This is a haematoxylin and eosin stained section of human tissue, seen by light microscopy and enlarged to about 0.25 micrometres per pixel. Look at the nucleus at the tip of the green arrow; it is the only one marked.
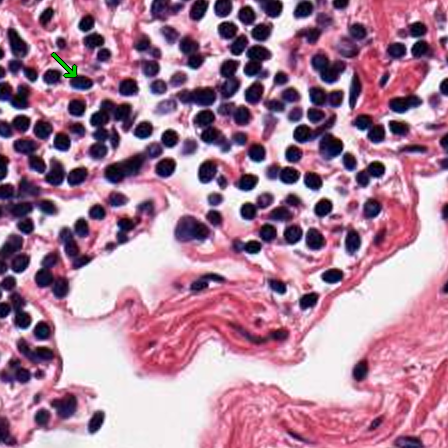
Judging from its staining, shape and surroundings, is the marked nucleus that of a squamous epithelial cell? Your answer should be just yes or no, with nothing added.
no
